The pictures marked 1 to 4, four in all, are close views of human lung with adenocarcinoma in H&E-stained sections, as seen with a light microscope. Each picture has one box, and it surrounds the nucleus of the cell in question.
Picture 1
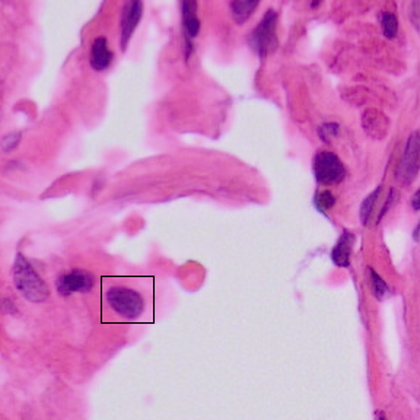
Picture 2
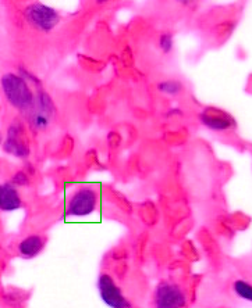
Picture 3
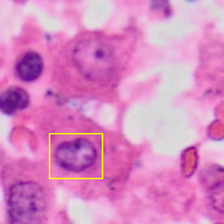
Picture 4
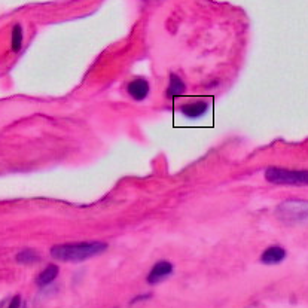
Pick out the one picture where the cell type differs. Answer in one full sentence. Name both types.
Picture 3 is the odd one out: it shows a “macrophage or monocyte”, while the others show type I pneumocytes.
